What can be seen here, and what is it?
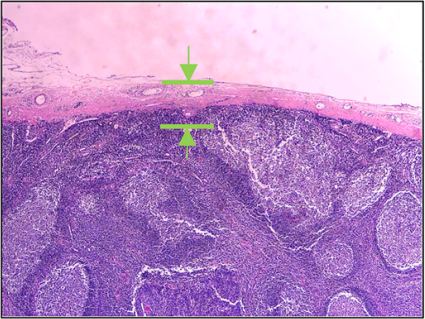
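This is lymphoid tissue of the tonsil seen at low magnification. Most of the field is packed with small, darkly purple-staining lymphocytes, arranged around several rounded, paler nodules that resemble lymphoid follicles. Irregular white clefts run through the parenchyma, likely artefactual spaces. The boundary between this eosinophilic band and the basophilic lymphoid tissue is fairly sharp, and loose pale tissue lies above the band at the very top of the field.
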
